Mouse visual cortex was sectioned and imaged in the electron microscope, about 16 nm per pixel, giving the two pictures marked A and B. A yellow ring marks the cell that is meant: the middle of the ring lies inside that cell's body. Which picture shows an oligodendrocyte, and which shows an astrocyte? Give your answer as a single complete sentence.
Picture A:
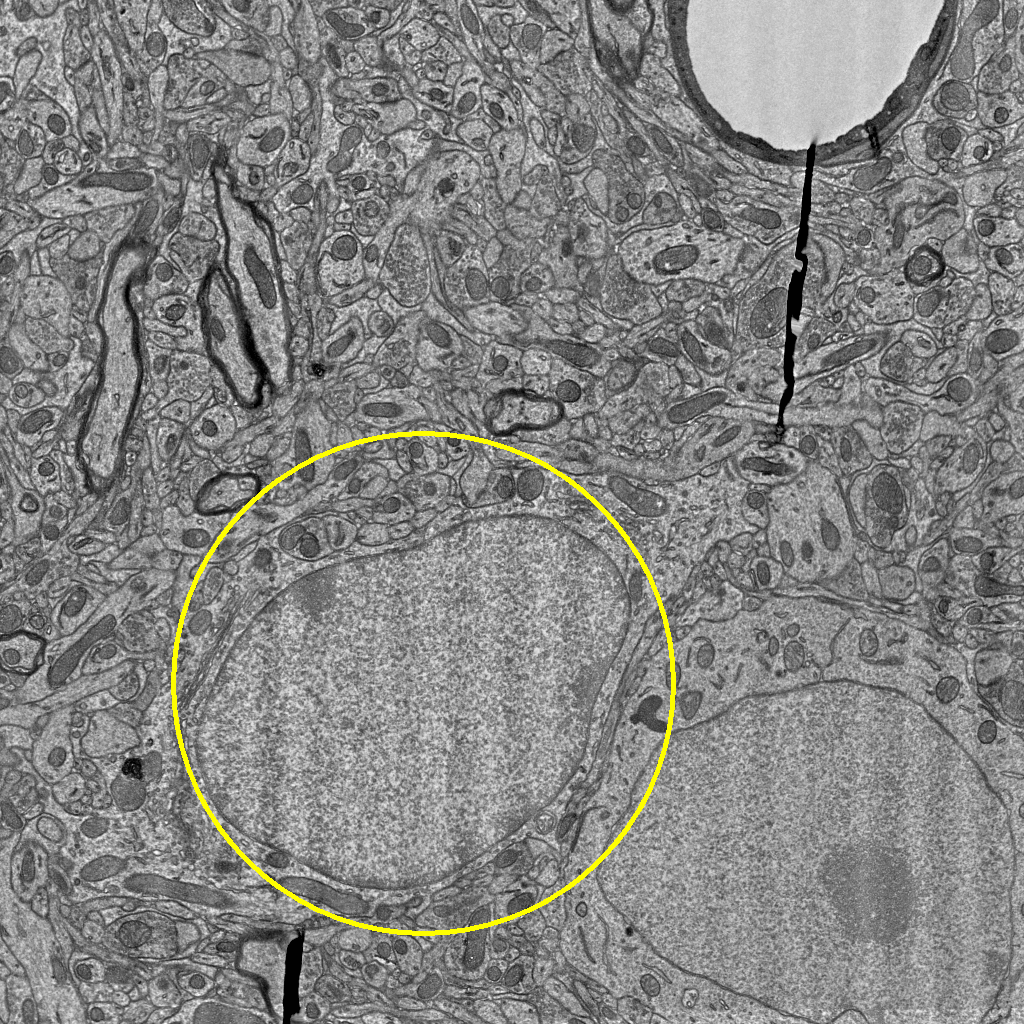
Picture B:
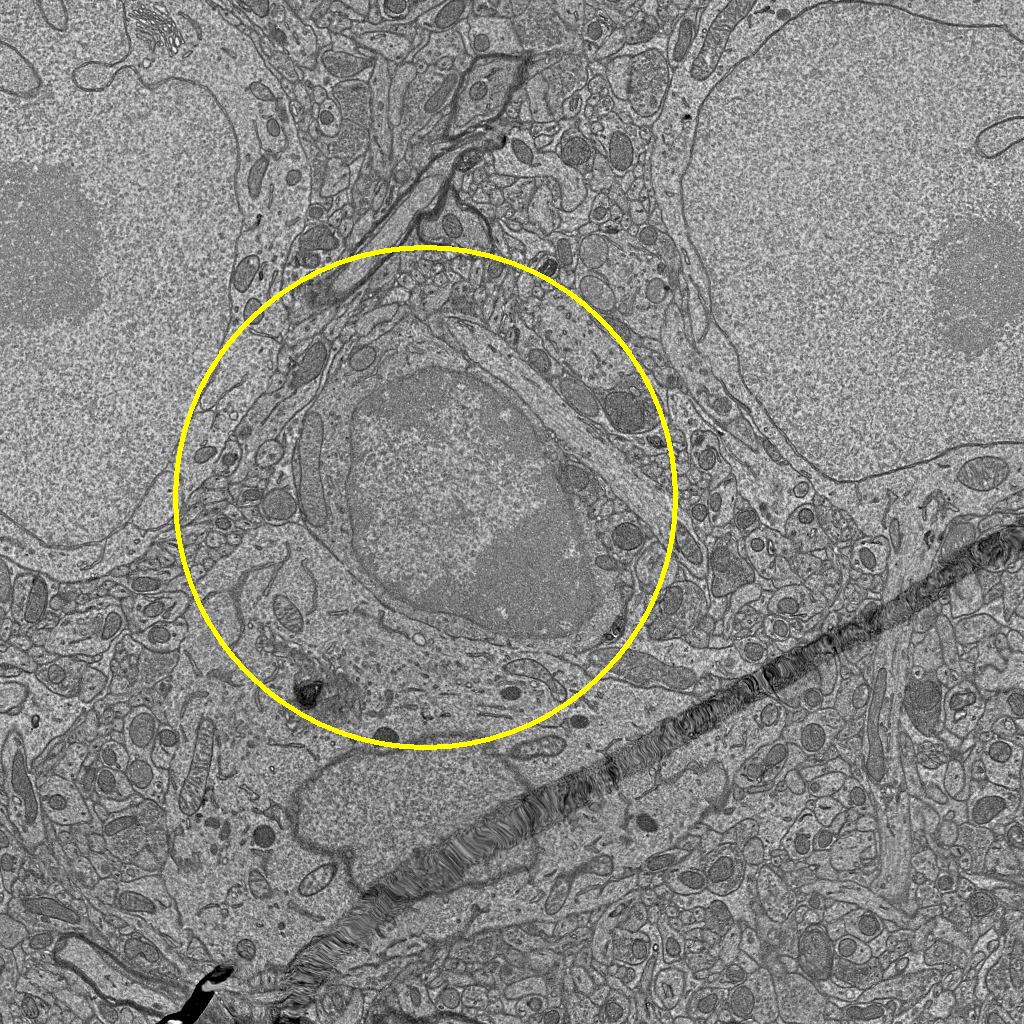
Picture A is of an astrocyte, and picture B is of an oligodendrocyte.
